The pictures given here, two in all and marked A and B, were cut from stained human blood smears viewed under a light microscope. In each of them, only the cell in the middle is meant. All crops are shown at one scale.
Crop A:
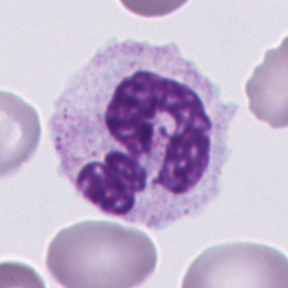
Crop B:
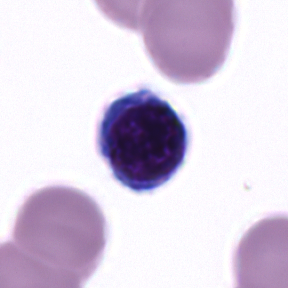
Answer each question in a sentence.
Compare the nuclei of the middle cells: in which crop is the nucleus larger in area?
It is the nucleus in crop A, about 2 times as large in area as the one in crop B.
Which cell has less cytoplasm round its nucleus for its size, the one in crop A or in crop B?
Of the two, the nucleus in crop B makes up the greater part of its cell.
